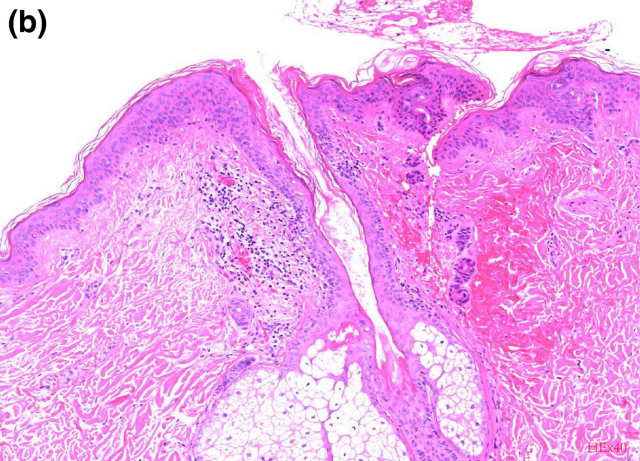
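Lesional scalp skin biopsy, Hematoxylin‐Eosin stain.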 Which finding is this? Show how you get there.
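Clusters of small dark purple nuclei lie in the upper dermis beside the follicle. The infiltrate gathers around the follicular epithelium and small vessels.
Inflammatory cells.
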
